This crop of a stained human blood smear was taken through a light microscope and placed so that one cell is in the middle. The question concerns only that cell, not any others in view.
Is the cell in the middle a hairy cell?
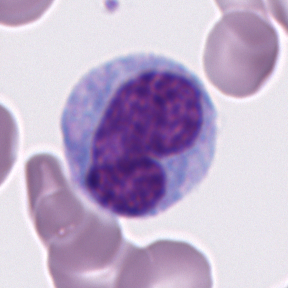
no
